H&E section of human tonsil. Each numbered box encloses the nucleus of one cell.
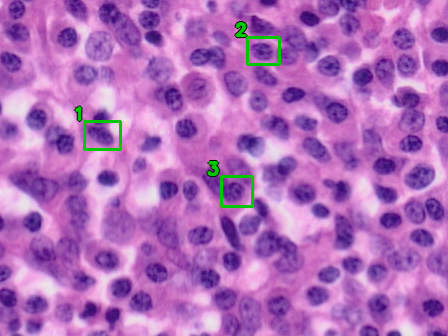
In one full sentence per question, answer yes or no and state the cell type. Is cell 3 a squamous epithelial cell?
No, the cell labelled number 3 is not a squamous epithelial cell; it is a plasma cell.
